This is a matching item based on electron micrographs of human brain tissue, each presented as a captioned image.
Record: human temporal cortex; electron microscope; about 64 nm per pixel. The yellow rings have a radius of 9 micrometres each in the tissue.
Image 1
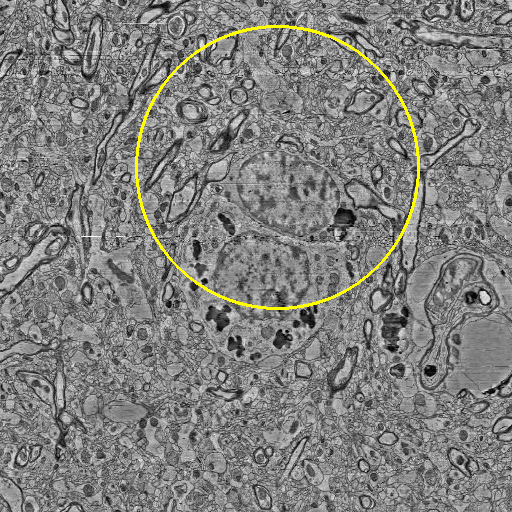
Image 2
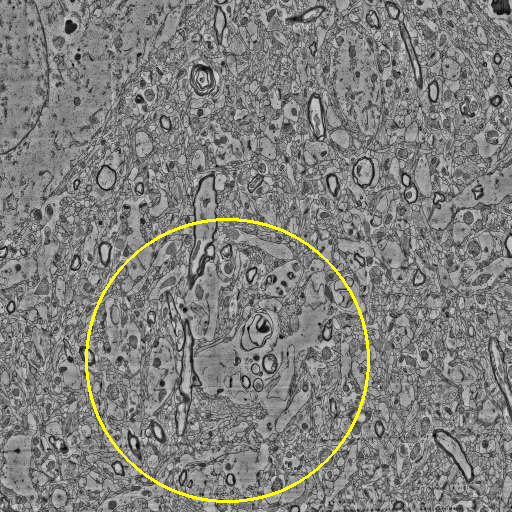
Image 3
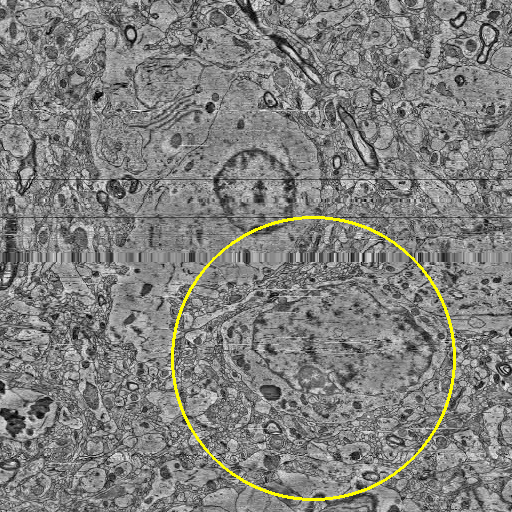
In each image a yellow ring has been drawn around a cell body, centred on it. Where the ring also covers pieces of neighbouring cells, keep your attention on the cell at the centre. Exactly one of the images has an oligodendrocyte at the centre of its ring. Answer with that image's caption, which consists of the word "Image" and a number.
Image 1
